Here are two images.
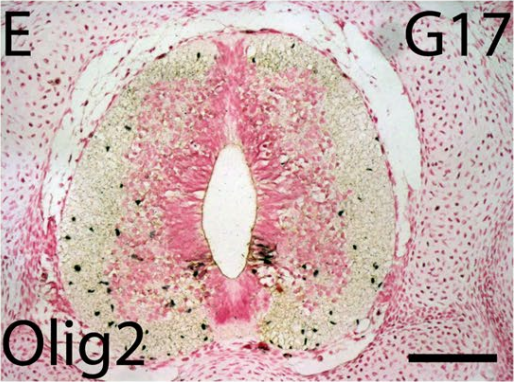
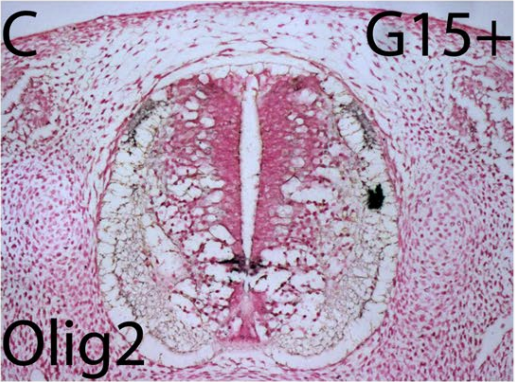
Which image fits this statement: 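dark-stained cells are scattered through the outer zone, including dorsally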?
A: the first image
